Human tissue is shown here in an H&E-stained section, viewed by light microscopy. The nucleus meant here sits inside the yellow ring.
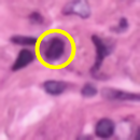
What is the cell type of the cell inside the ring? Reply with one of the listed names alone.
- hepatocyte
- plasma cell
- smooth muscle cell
plasma cell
